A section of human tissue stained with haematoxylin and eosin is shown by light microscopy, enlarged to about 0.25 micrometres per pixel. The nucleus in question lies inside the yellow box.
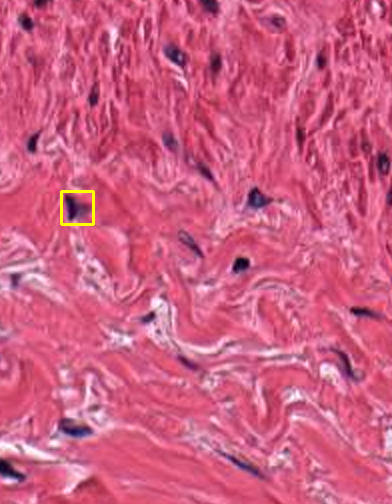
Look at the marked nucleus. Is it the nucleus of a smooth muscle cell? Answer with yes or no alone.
no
